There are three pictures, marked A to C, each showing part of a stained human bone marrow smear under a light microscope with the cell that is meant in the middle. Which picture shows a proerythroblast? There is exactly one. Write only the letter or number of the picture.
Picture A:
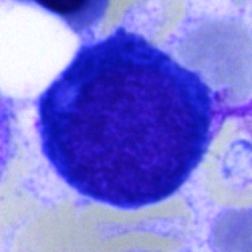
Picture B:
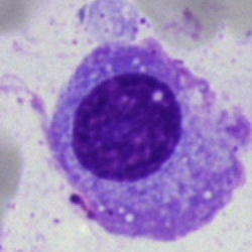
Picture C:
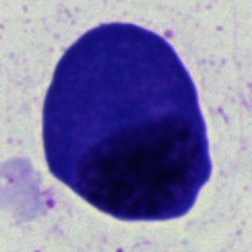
A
